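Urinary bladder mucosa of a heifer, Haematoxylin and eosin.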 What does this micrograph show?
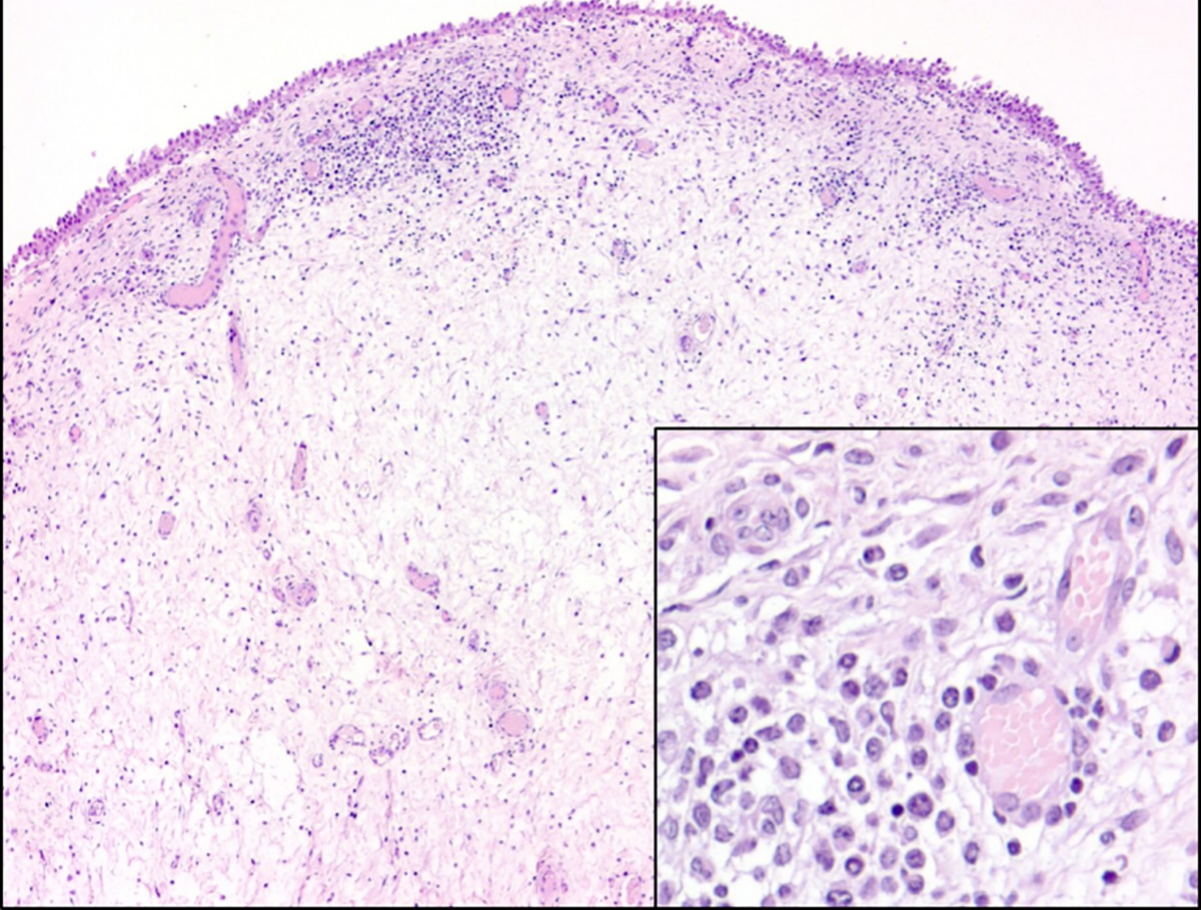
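Just under the epithelium, small dark round nuclei of inflammatory cells gather densely, forming a follicle-like cluster, while others are scattered throughout. Many small vessels with pink-red contents are dotted through the tissue. In the enlarged inset, these small vessels are lined by plump, cube-shaped cells with large oval nuclei instead of the usual thin flat lining, and round inflammatory cells crowd around them.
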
